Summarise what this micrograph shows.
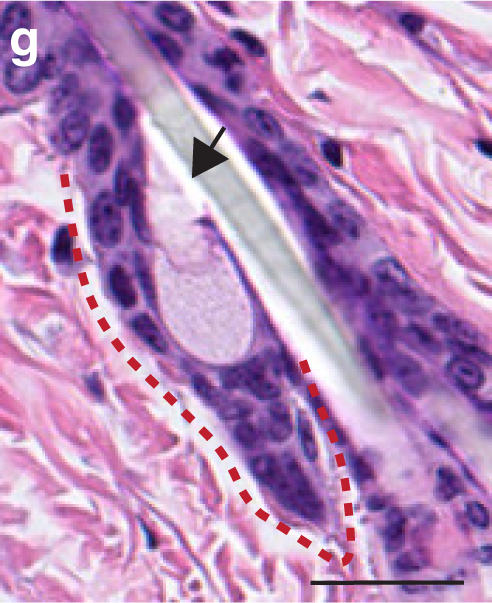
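A sebaceous gland lies beside a hair follicle in the dermis, outlined by a red dashed line, with pink collagen bundles of the dermis outside it. A pale grey hair shaft runs diagonally from upper left to lower right. Within the gland, cells with round purple nuclei and lilac cytoplasm are packed in a cluster. Near the centre sits a large oval cell filled with pale, finely foamy pink material, the sebocyte stuffed with sebum; its upper end opens toward the clear channel next to the hair shaft, where sebum is being released into the sebaceous duct. A black arrow points to this spot.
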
